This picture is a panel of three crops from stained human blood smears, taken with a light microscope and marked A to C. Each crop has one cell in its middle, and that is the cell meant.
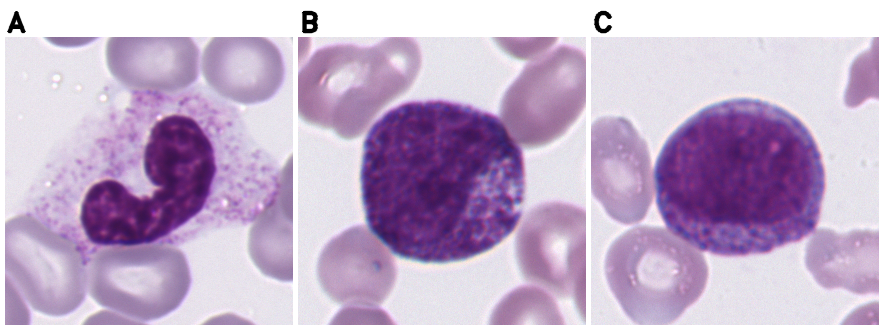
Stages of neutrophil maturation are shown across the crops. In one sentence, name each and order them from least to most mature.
From earliest to most mature stage, the crops go crop C (a promyelocyte), crop B (a myelocyte) and crop A (a band neutrophil).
